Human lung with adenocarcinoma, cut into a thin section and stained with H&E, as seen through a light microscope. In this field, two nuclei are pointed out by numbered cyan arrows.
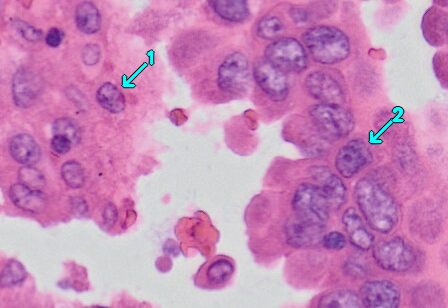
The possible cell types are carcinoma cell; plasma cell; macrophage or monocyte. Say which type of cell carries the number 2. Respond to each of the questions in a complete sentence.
Here, the cell given the number 2 is a carcinoma cell.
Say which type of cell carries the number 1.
The correct label for cell 1 is a macrophage or monocyte.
